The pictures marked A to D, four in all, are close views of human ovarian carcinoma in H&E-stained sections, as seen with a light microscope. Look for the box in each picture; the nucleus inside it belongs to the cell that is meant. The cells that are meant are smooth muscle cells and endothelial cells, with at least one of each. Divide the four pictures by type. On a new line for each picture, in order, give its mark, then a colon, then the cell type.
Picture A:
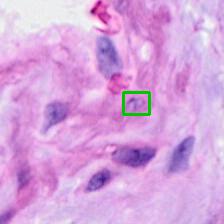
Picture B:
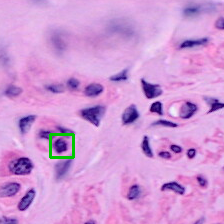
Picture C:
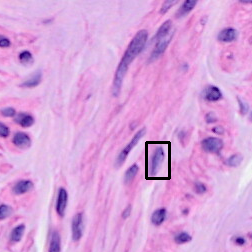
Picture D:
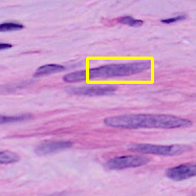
A: endothelial cell
B: smooth muscle cell
C: smooth muscle cell
D: smooth muscle cell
